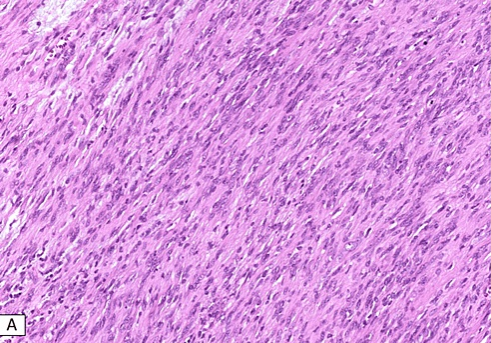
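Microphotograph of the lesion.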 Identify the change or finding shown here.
Spindle-shaped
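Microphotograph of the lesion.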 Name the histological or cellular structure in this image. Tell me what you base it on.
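Multiple intersecting fascicles. Elongated cells run in parallel bundles. Bundles run in slightly different directions across the field.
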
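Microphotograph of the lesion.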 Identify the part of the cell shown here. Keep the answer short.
An eosinophilic cytoplasm.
